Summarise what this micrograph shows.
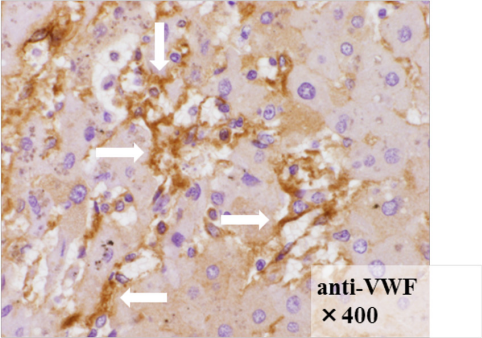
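Liver tissue with polygonal hepatocytes with pale cytoplasm and round blue nuclei, separated by irregular, widened sinusoidal spaces. Dense brown-stained strands and clumps fill and line these spaces between the hepatocyte plates, while the hepatocytes show only faint diffuse staining.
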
